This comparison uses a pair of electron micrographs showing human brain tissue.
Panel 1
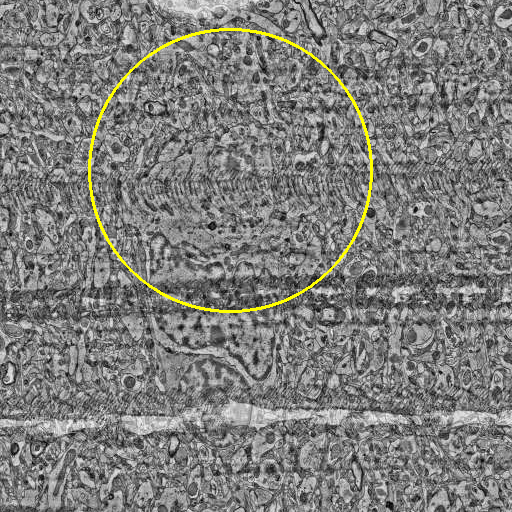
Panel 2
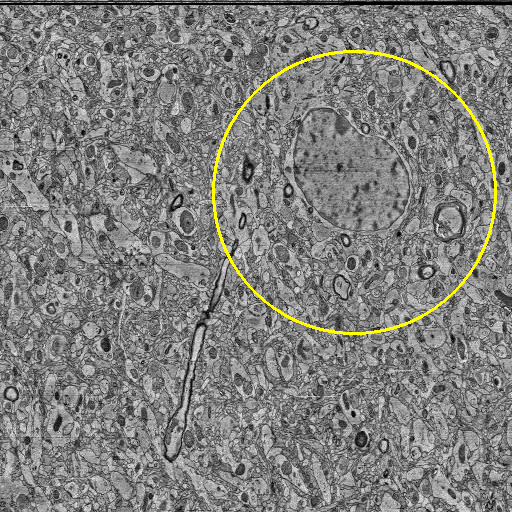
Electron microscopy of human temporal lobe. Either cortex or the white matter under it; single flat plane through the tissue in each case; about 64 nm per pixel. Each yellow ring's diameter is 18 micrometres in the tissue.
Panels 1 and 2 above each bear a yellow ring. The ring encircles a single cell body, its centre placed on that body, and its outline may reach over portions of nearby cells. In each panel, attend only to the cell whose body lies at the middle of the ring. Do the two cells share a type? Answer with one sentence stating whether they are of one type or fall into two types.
In Panel 1 and Panel 2, the cells at the centres of the rings fall into two types.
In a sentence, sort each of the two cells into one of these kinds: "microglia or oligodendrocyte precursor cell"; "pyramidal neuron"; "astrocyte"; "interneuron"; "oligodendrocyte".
The first of the two cells is an interneuron, and the second is a microglial cell or oligodendrocyte precursor cell.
